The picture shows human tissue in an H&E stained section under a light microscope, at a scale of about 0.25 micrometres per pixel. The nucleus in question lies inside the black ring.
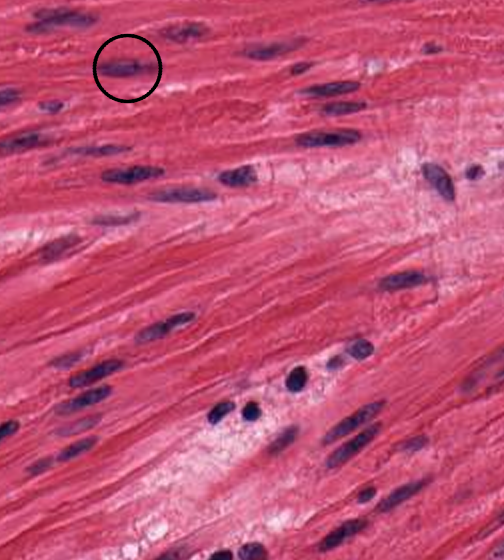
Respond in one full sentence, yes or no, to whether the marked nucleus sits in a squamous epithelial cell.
No, the marked nucleus is not that of a squamous epithelial cell.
